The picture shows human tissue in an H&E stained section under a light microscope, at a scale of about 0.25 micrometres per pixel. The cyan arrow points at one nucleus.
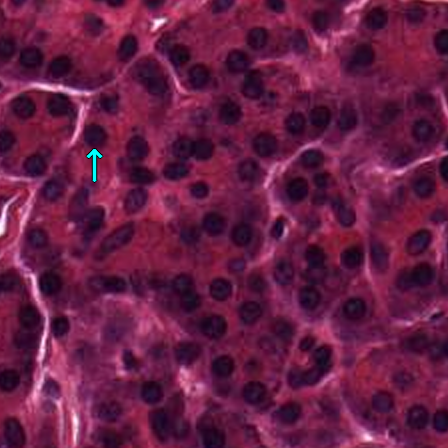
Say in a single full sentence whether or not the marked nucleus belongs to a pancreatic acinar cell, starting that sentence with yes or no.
Yes, the marked nucleus is in a pancreatic acinar cell.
